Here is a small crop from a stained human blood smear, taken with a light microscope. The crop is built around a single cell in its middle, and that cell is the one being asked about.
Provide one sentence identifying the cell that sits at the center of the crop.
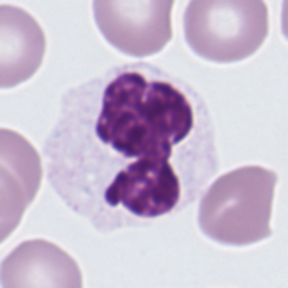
Positioned in the middle of the crop is a segmented neutrophil.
